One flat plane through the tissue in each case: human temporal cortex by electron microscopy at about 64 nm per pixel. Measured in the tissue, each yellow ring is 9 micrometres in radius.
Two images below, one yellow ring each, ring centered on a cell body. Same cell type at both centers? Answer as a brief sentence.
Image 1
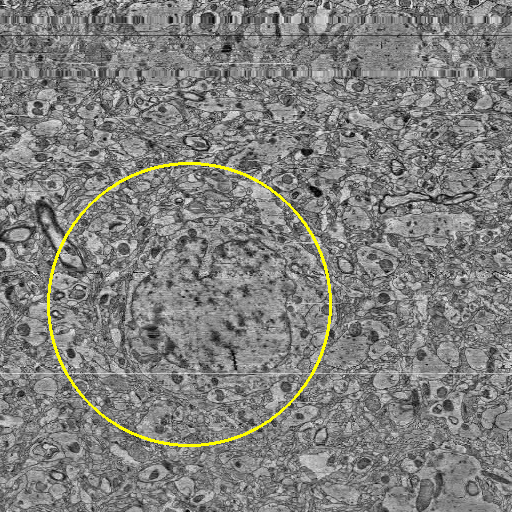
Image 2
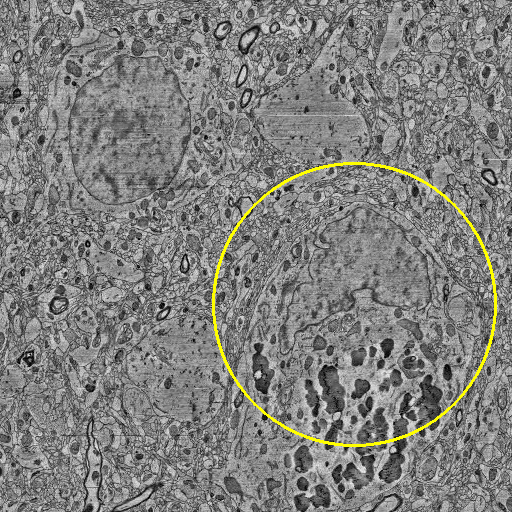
Yes, both cells are of the same type.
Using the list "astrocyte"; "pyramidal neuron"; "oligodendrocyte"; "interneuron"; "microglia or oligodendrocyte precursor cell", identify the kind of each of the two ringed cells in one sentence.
Each one of the two ringed cells is an interneuron.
